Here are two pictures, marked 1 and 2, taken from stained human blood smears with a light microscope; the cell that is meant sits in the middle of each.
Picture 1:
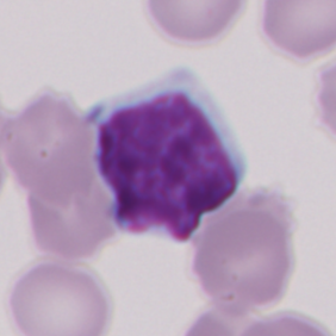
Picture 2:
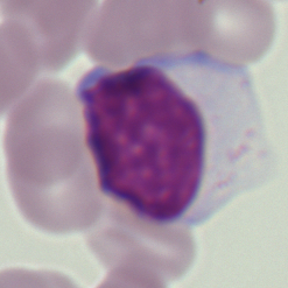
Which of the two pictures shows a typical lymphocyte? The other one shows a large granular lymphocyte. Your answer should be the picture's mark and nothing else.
1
